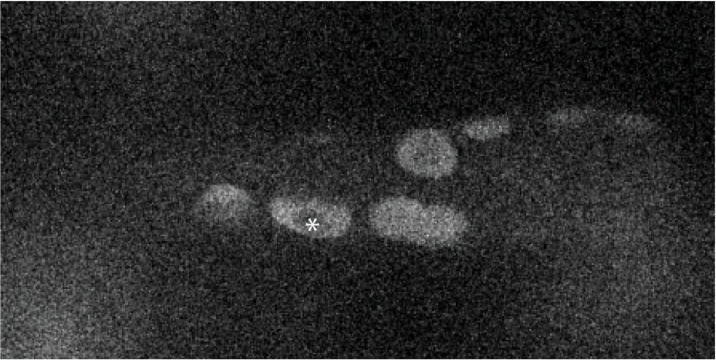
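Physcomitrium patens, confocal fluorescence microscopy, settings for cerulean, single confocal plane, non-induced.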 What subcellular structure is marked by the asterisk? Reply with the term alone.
Chloroplasts.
